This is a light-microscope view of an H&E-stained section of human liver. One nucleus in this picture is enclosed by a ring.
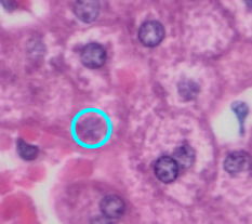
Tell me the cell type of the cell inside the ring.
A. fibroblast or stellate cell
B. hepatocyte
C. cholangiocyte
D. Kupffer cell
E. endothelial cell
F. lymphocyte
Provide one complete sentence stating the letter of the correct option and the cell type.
Best answer: option B, with the cell inside the ring being a hepatocyte.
